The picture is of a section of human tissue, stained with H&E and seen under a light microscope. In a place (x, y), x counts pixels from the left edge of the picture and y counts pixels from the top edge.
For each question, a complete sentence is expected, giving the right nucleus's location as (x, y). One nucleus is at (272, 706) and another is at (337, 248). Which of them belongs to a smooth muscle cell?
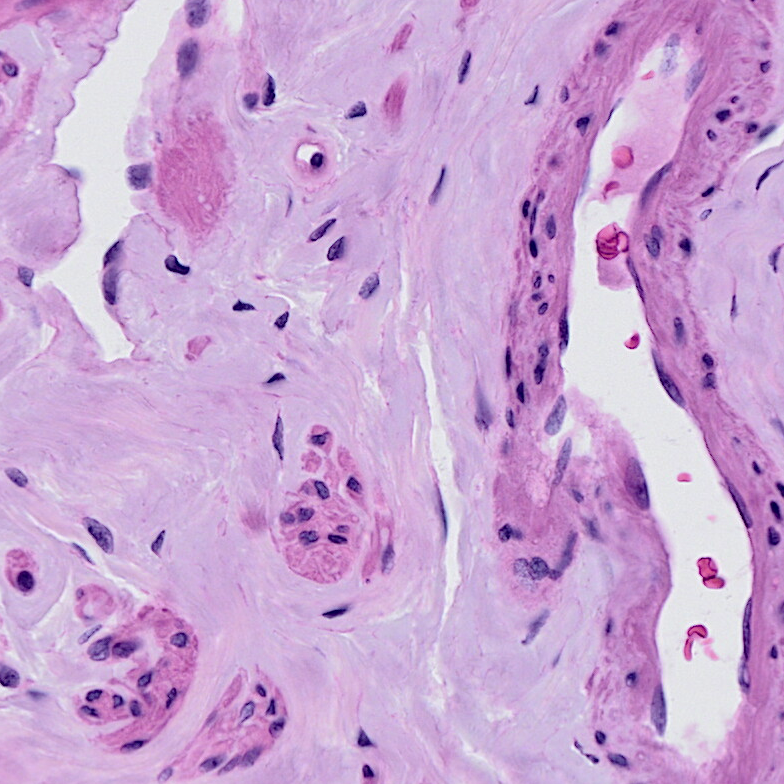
The correct choice is the nucleus at (272, 706), which belongs to a smooth muscle cell.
